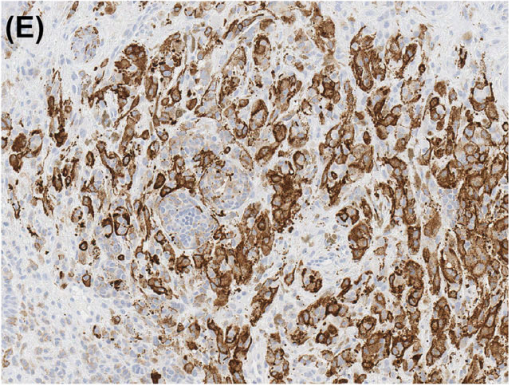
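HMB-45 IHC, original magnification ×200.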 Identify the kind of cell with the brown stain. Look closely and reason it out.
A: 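Epithelioid component. Large polygonal cells with abundant cytoplasm are strongly brown. Nests of small cells with little cytoplasm stay unstained blue.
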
